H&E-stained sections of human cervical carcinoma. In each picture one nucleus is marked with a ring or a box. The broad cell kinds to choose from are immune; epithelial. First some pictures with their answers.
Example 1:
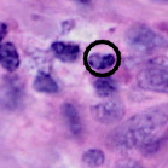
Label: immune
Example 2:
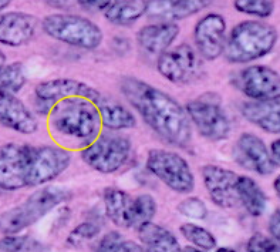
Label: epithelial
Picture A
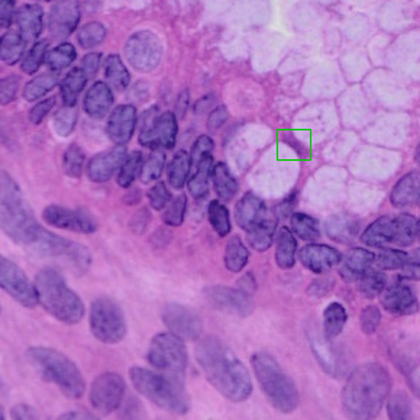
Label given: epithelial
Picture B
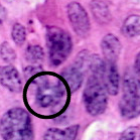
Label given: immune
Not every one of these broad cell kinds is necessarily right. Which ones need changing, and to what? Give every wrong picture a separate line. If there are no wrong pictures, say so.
Wrong: B (immune); correct: epithelial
